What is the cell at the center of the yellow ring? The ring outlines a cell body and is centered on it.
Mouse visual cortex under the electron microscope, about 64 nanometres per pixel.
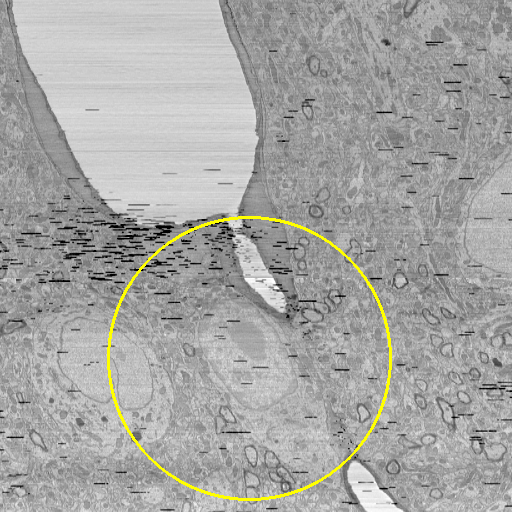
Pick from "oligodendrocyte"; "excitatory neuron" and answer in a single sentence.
The yellow ring is centered on an oligodendrocyte.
